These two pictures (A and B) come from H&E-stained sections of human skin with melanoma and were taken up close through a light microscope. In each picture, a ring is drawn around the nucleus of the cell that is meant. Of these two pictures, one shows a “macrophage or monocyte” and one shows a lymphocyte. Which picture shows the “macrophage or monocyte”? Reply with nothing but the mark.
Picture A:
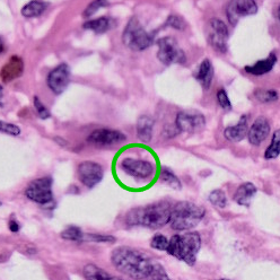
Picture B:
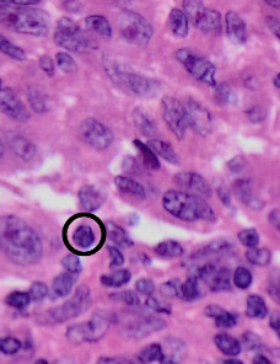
A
